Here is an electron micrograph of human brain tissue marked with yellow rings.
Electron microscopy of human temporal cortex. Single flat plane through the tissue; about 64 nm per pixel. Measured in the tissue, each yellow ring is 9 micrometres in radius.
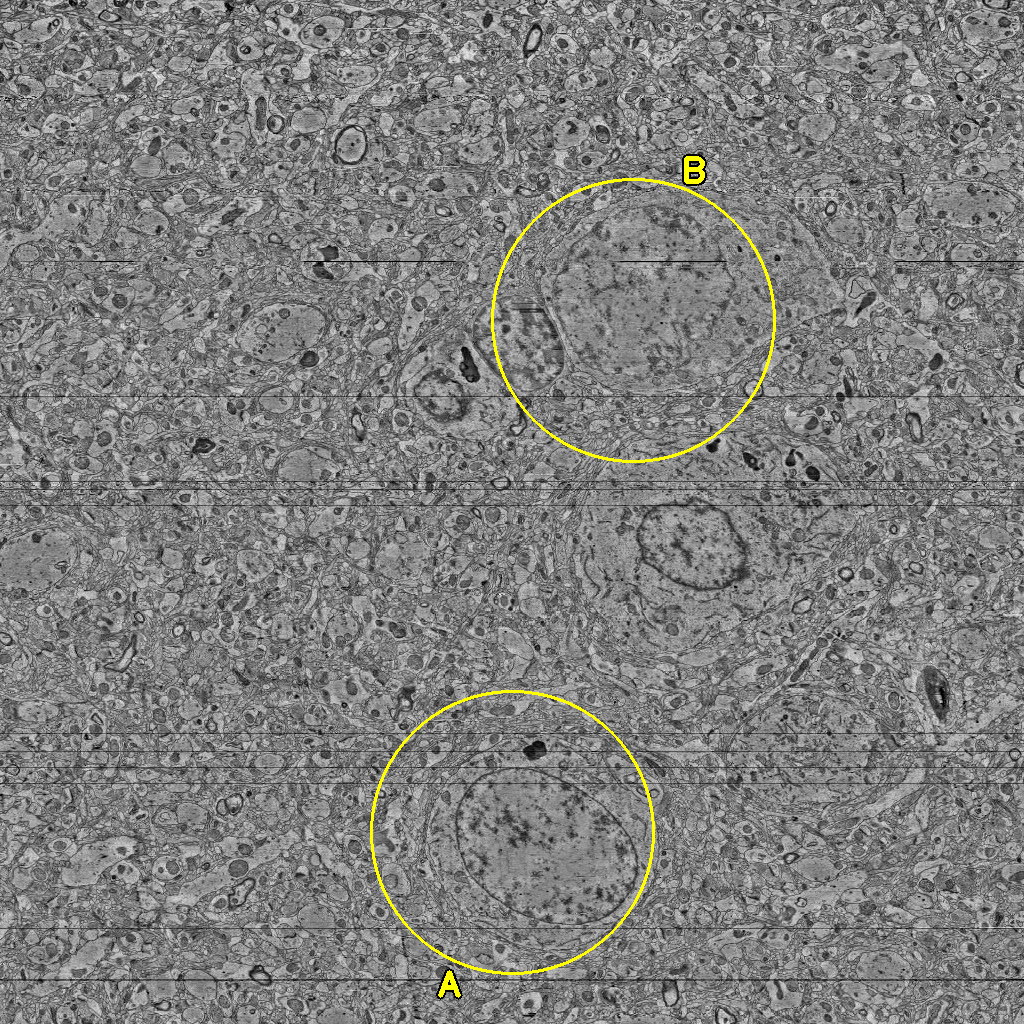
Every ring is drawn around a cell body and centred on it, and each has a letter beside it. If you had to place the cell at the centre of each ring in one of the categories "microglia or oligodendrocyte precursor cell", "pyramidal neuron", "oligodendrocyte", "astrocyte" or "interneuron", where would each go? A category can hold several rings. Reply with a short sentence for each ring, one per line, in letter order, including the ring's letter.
The centre of ring A holds a pyramidal neuron.
The centre of ring B holds an interneuron.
